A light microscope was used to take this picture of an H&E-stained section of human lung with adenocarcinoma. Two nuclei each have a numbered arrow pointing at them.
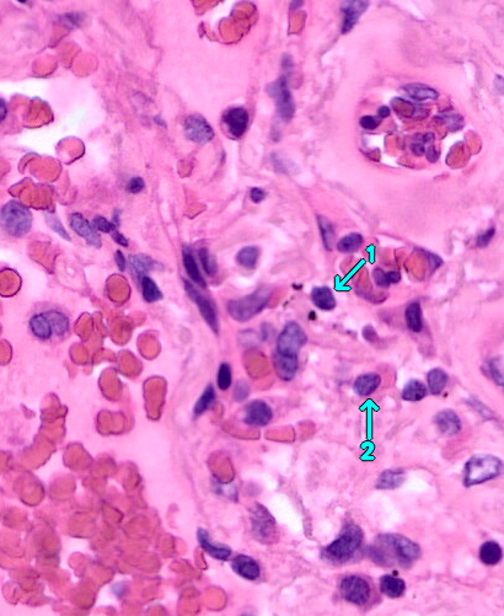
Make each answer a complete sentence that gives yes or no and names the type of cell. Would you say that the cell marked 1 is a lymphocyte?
Yes, the numbered cell 1 is a lymphocyte.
